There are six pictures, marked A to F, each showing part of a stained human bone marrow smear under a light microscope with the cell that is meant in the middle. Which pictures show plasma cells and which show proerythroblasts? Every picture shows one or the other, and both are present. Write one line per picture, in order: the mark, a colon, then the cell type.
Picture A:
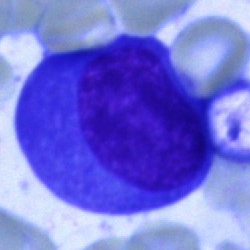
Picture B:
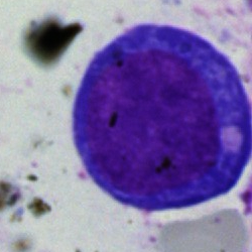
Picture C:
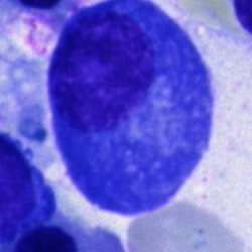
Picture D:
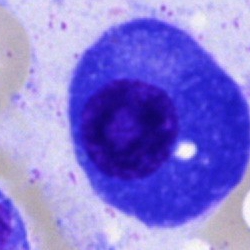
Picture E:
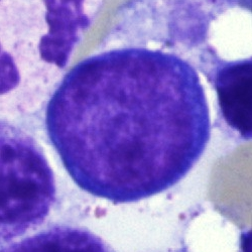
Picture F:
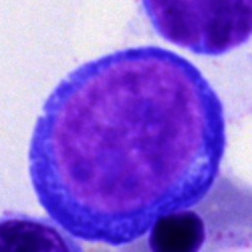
A: plasma cell
B: proerythroblast
C: plasma cell
D: plasma cell
E: proerythroblast
F: proerythroblast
